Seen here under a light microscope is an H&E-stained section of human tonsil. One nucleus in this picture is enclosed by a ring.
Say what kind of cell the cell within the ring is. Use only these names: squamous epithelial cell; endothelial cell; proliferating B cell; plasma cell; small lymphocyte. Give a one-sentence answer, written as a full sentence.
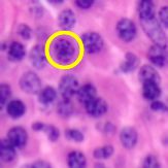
The identity of the cell within the ring: it is a plasma cell.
